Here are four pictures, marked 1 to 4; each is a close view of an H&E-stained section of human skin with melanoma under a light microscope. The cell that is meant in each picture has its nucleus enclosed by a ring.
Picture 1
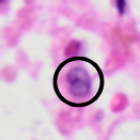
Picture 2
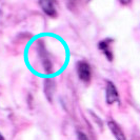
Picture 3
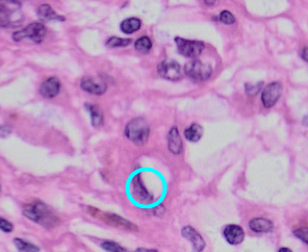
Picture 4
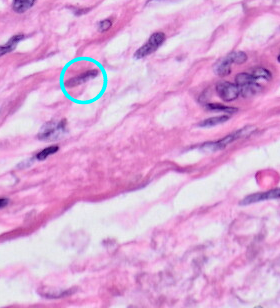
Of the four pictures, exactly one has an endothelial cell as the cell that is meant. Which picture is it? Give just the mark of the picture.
3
